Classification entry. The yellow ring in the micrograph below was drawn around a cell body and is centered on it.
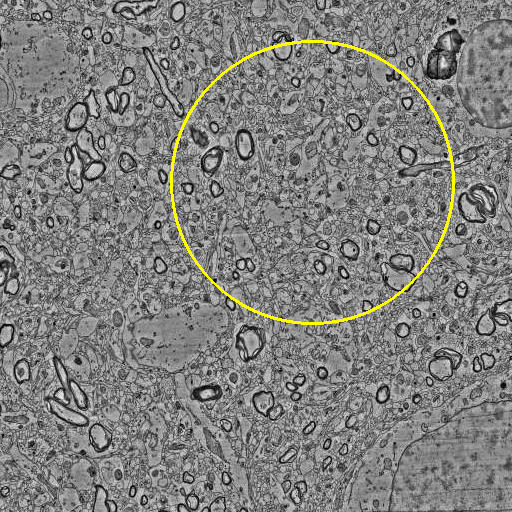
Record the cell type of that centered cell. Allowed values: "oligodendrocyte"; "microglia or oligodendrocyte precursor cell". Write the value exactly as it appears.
oligodendrocyte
